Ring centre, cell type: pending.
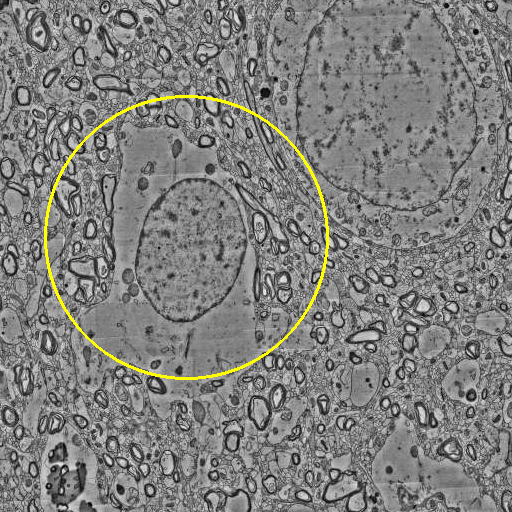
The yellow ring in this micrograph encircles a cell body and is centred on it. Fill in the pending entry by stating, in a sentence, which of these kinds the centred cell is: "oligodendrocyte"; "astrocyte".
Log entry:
The centred cell is recorded as an astrocyte.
